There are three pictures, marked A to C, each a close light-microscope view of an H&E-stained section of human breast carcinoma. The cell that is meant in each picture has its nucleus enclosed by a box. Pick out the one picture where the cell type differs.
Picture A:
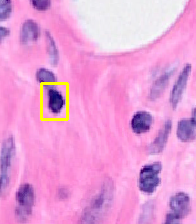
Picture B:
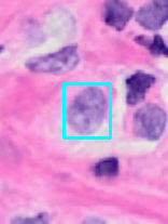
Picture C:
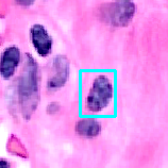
B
